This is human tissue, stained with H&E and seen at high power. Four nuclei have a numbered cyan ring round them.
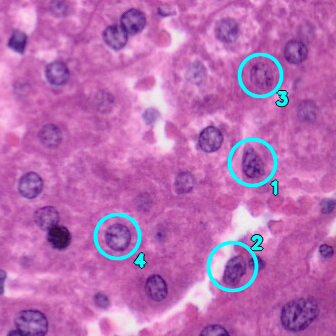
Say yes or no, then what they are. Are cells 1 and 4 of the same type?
No, in contrast to cell 4, which is a hepatocyte, cell 1 is a Kupffer cell.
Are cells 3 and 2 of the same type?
No, cell 3 counts as a hepatocyte, and cell 2 counts as a Kupffer cell.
